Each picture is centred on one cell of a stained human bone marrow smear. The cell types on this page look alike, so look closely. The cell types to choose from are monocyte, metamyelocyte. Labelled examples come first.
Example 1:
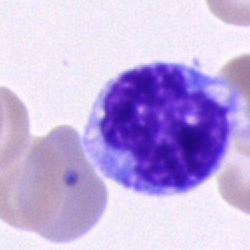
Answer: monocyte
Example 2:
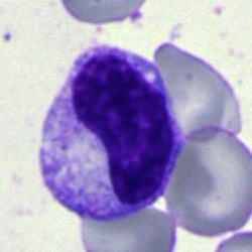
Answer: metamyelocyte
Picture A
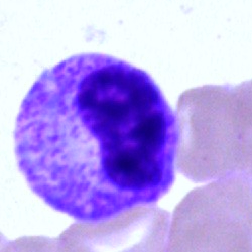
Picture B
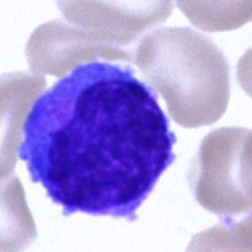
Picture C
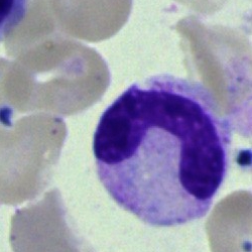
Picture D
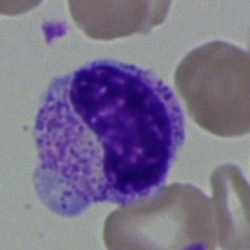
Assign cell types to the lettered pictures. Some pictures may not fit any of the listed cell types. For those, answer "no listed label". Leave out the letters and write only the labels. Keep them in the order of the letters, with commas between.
metamyelocyte, monocyte, no listed label, metamyelocyte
